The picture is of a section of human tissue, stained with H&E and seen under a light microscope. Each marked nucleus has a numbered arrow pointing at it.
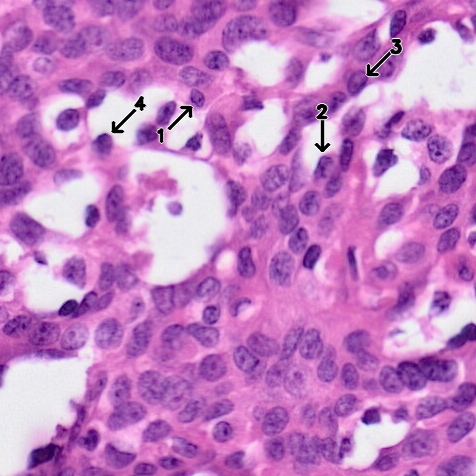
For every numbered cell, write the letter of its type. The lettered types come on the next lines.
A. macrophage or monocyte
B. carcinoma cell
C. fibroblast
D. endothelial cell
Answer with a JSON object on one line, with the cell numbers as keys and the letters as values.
{"1": "A", "2": "B", "3": "B", "4": "B"}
